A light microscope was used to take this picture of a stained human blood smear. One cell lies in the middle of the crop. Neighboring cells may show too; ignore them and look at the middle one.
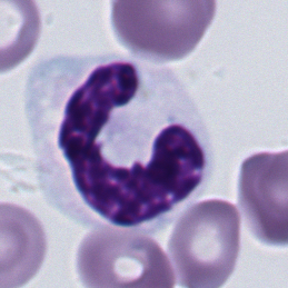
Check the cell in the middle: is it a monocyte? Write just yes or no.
no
